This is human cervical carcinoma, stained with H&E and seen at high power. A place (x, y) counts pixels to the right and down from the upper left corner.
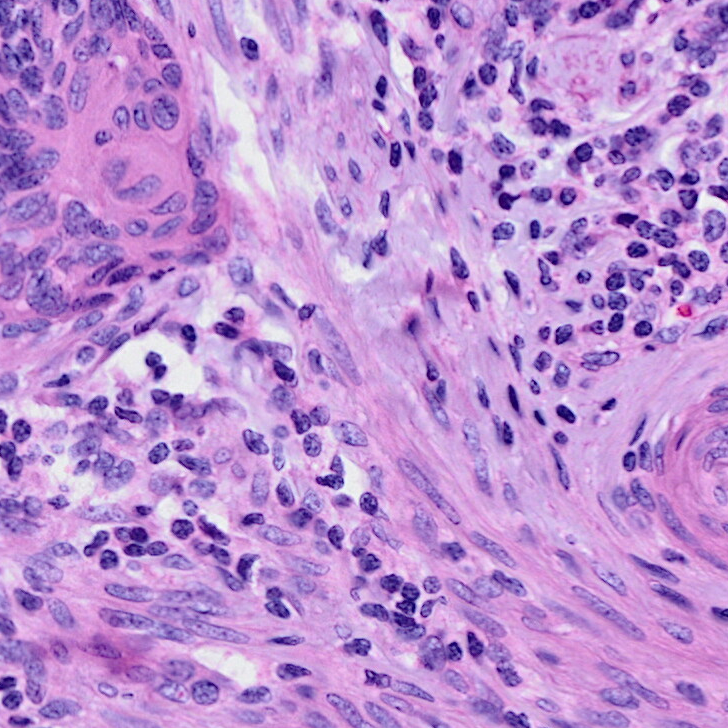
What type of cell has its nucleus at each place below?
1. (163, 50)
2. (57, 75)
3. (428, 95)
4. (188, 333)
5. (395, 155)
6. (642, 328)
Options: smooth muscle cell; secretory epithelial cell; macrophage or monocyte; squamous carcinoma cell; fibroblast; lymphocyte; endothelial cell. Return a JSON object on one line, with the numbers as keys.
{"1": "squamous carcinoma cell", "2": "squamous carcinoma cell", "3": "lymphocyte", "4": "lymphocyte", "5": "lymphocyte", "6": "lymphocyte"}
